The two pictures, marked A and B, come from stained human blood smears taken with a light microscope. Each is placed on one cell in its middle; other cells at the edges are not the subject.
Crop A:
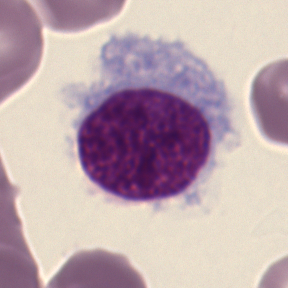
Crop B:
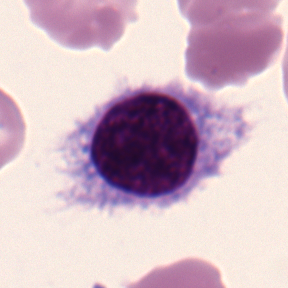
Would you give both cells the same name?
yes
